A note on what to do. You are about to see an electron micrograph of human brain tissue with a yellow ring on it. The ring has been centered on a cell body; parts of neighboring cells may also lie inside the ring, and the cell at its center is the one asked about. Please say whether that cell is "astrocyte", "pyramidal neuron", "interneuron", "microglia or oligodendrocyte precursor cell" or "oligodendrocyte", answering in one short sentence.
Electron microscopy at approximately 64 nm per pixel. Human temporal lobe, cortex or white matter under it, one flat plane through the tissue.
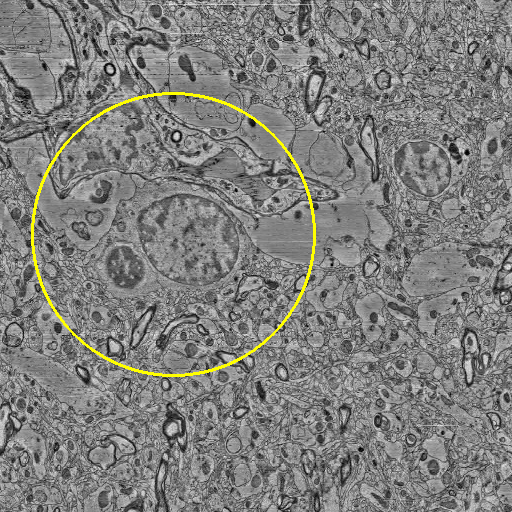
The yellow ring sits on an oligodendrocyte.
